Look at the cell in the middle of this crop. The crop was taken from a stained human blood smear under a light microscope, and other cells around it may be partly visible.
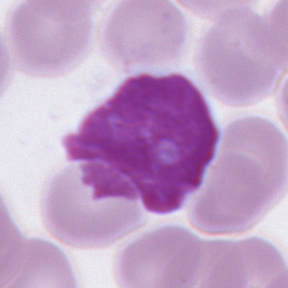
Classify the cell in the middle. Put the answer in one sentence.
In the crop, the cell of interest at the centre is a smudge cell.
